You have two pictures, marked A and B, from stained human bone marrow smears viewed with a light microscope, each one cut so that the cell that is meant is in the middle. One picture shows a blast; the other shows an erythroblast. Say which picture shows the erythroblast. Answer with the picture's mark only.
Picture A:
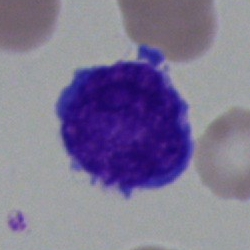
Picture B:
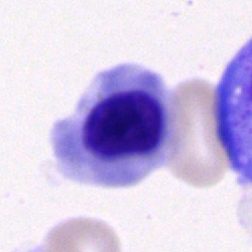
B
